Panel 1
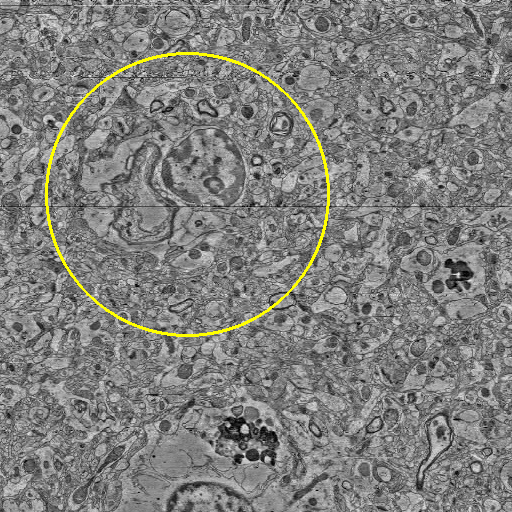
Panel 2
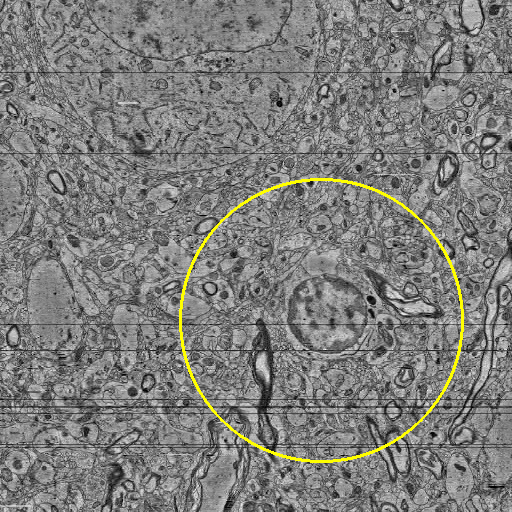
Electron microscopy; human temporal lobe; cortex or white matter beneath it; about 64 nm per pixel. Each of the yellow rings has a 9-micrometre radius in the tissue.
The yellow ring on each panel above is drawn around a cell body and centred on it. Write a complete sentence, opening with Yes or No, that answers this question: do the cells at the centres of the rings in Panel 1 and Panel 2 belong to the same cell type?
Yes, both cells belong to the same cell type.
